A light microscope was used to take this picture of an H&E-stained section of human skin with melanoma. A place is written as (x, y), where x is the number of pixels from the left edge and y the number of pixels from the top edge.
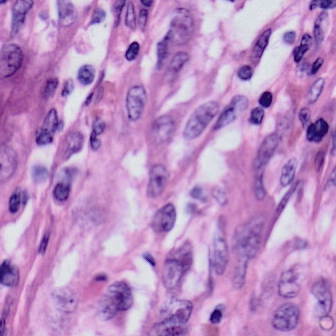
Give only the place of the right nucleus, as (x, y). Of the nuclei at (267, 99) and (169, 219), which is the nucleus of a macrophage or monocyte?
(169, 219)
